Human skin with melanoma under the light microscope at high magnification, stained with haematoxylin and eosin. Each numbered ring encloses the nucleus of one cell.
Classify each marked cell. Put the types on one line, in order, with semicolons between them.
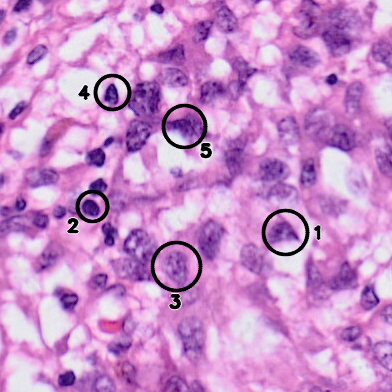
melanoma cell; lymphocyte; melanoma cell; lymphocyte; melanoma cell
